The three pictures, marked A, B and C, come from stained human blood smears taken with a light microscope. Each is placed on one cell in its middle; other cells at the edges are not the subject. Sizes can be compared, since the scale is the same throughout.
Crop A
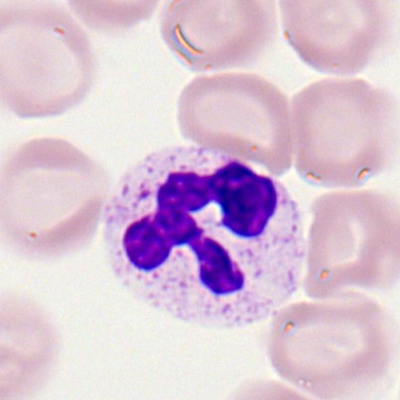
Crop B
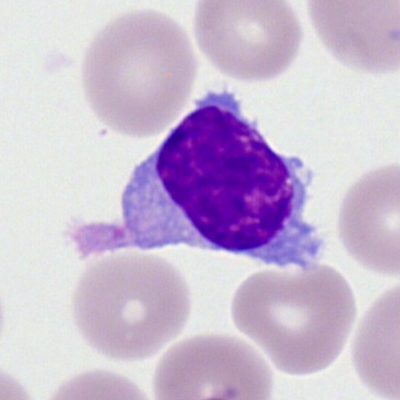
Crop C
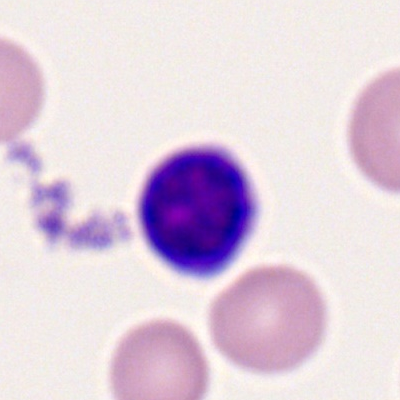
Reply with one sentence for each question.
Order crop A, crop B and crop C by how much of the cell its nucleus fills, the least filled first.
They run A, B, C, the least filled first.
